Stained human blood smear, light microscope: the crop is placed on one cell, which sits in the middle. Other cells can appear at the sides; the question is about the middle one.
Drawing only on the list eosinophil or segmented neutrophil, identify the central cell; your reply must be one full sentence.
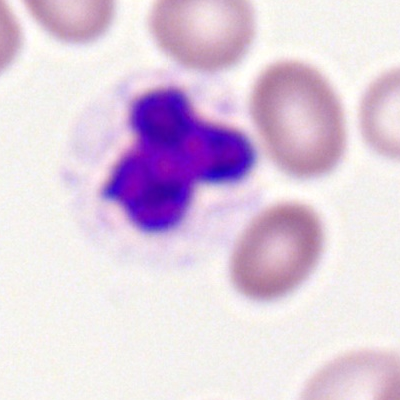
The cell at the central position in this crop is a segmented neutrophil.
